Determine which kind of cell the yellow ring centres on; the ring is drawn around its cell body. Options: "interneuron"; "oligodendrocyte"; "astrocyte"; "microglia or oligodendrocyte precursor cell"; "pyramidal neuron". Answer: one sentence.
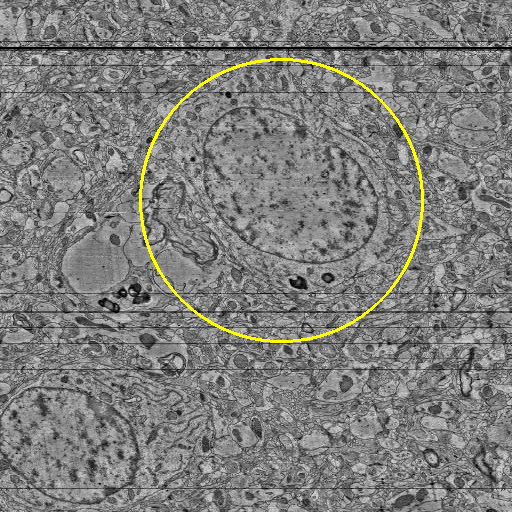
The ring centres on a pyramidal neuron.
